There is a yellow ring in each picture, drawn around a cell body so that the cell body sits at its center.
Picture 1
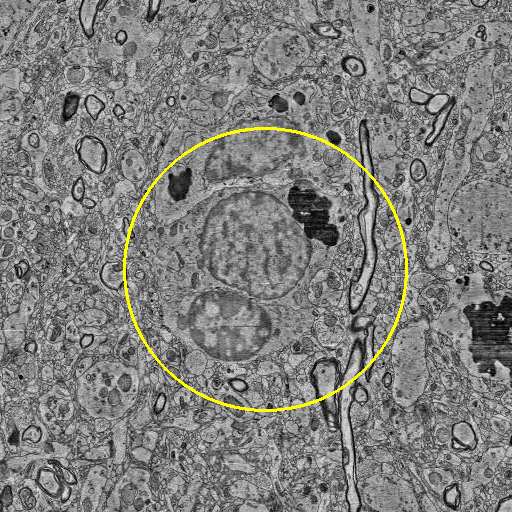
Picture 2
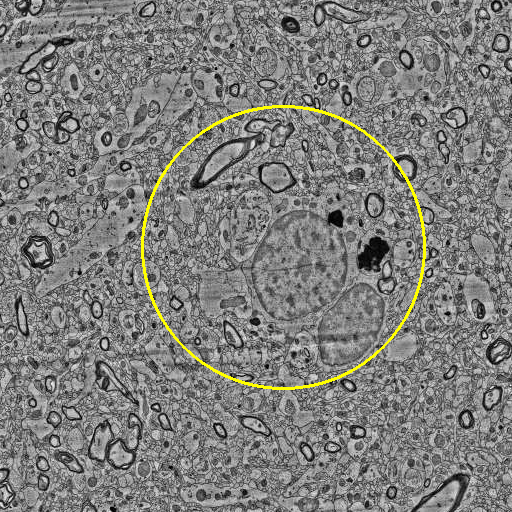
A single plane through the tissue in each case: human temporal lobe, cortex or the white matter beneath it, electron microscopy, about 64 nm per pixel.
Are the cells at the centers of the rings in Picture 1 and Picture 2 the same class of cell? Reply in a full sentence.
Yes, the two cells are the same class of cell.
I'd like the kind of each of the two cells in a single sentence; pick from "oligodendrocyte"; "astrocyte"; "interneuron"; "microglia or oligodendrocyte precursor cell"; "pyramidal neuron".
Each cell at the centre of a ring is an oligodendrocyte.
